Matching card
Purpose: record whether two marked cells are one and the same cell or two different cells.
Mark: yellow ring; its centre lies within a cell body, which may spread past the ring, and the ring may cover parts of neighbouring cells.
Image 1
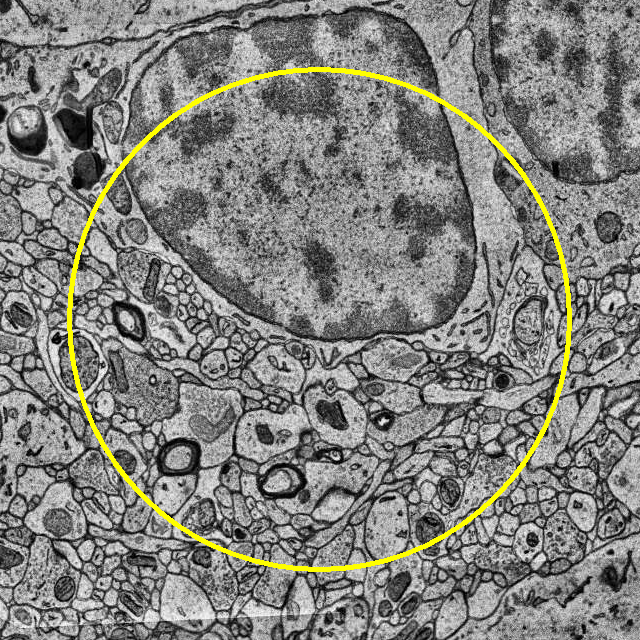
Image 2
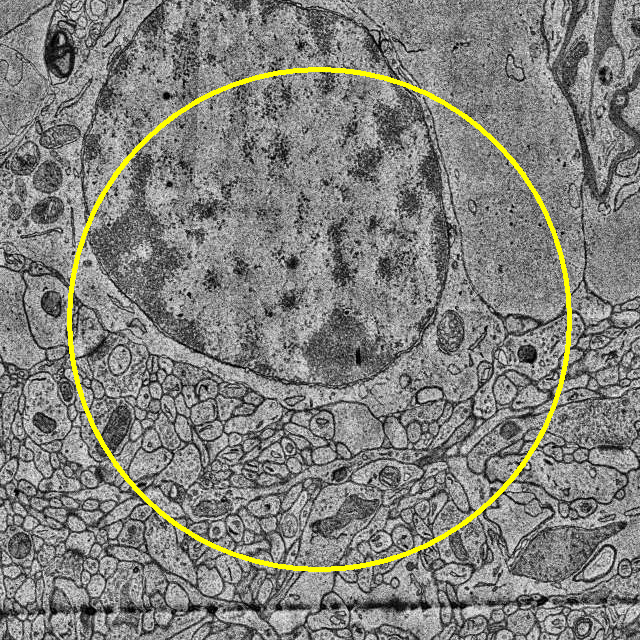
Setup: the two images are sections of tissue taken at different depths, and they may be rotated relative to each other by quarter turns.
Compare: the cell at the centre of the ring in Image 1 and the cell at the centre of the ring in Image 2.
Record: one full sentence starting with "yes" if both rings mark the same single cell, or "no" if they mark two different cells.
No, one ring and the other ring mark two distinct cells.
